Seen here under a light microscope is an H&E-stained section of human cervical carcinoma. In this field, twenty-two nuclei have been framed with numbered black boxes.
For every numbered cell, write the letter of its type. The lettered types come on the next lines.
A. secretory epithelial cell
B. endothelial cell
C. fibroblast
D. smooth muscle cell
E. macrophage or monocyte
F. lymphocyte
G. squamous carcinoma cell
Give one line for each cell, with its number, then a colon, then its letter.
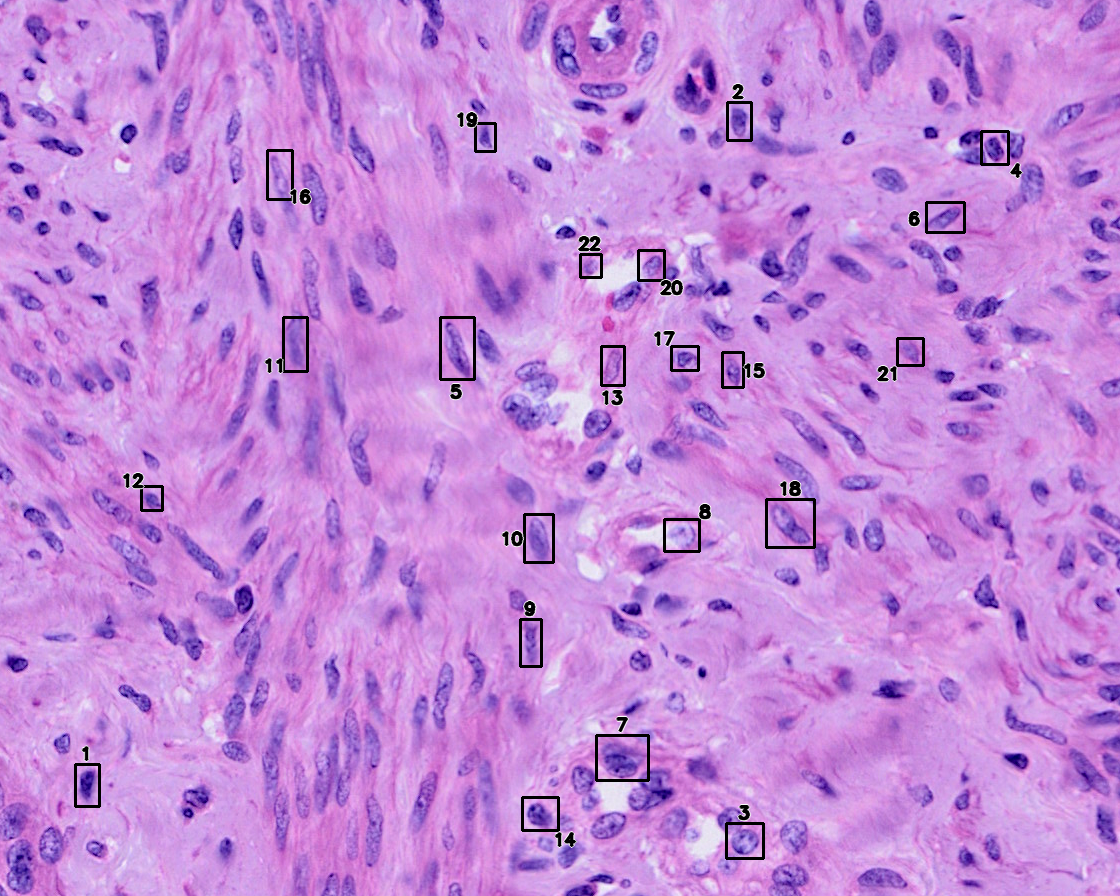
1: C
2: C
3: B
4: F
5: C
6: D
7: B
8: B
9: C
10: C
11: D
12: D
13: B
14: F
15: D
16: D
17: D
18: D
19: C
20: B
21: D
22: B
